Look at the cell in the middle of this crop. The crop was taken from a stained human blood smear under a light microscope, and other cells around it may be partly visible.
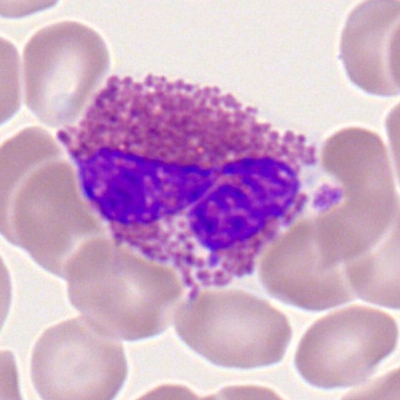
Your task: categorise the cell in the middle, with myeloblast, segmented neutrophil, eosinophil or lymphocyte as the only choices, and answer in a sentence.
Classified as an eosinophil is the cell in the middle of this crop.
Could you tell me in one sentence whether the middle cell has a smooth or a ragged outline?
This cell has an uneven outline, either ragged or bearing projections.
